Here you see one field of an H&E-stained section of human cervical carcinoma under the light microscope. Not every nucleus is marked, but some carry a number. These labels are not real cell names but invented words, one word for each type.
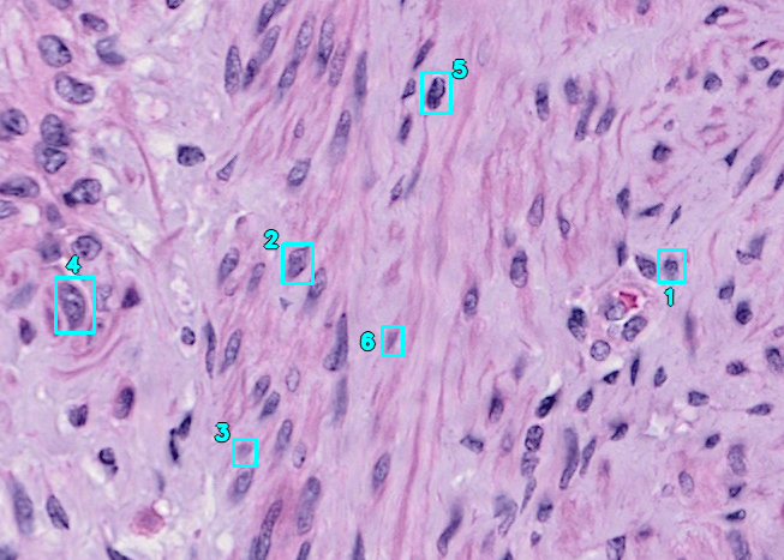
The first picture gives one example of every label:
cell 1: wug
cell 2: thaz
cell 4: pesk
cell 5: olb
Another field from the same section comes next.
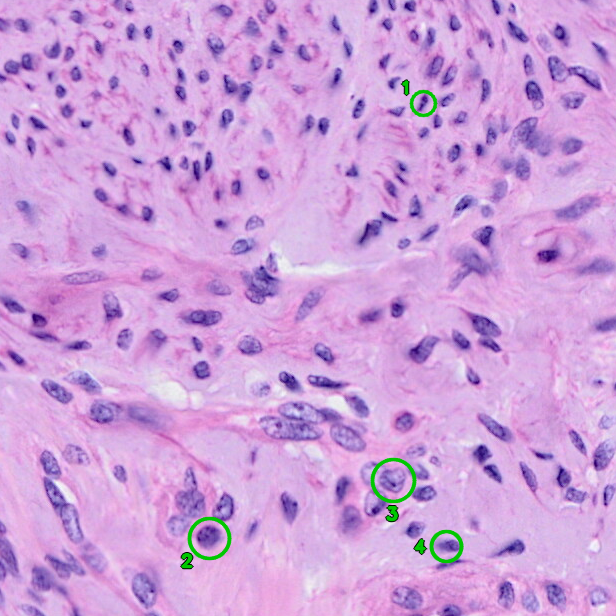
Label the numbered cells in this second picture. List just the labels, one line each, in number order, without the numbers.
thaz
olb
pesk
wug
